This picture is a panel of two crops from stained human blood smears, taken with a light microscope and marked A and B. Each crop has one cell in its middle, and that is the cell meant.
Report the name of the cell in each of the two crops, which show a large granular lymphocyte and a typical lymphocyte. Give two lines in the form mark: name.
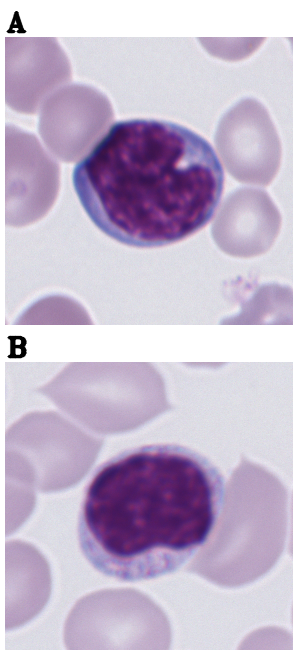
A: large granular lymphocyte
B: typical lymphocyte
